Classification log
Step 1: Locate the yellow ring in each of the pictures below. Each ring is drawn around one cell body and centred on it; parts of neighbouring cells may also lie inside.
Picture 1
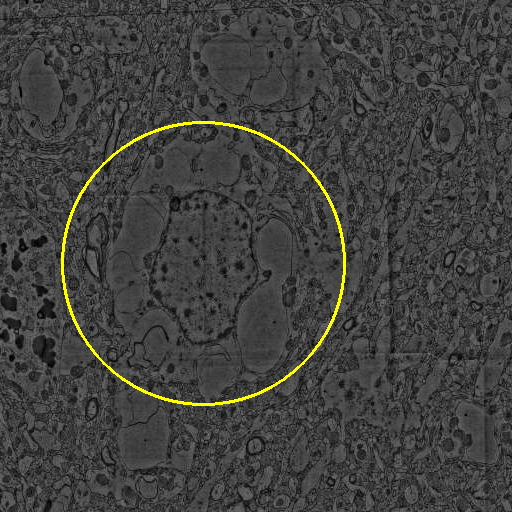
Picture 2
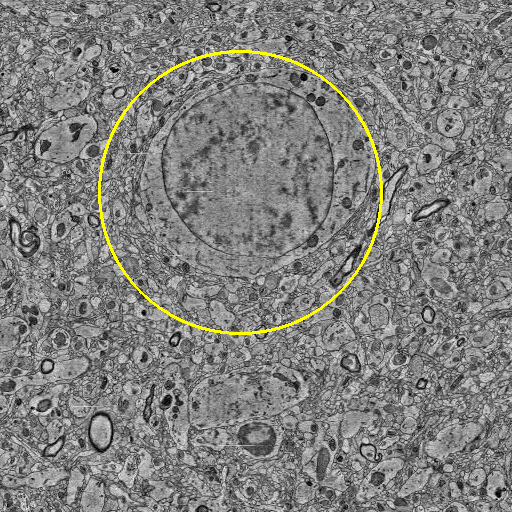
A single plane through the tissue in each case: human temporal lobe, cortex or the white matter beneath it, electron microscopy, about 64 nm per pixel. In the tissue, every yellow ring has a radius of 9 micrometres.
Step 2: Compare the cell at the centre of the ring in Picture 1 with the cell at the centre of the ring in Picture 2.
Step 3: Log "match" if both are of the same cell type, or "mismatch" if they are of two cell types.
mismatch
